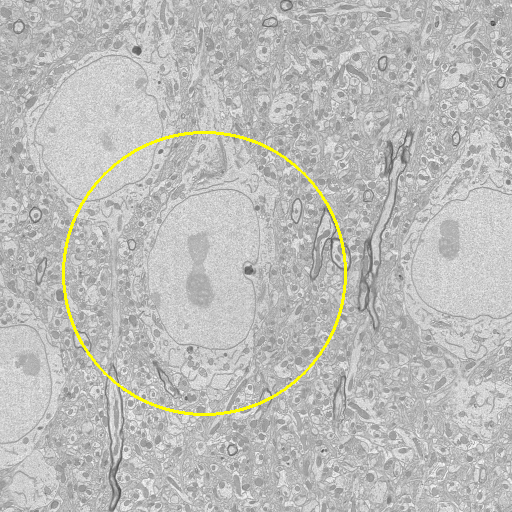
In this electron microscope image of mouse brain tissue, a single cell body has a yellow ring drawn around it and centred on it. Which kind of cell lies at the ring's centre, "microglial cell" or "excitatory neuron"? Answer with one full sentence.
It is an excitatory neuron whose cell body lies at the centre of the yellow ring here.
